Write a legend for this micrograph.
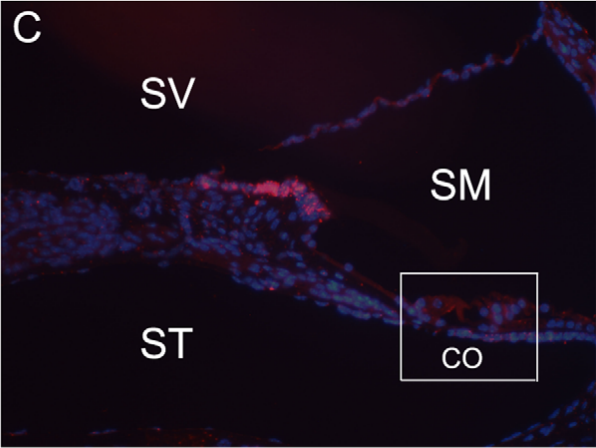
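A fluorescence cross-section of the cochlear duct shows three dark, empty fluid spaces separated by thin membranes lined by blue nuclei. From the left, a thick cellular shelf dense with blue nuclei extends across the section, and its upper surface carries a concentration of bright red dots. This shelf continues to the right into a small, boxed cluster of cells with scattered red fluorescence. A thin membrane composed of a single row of nuclei runs diagonally upward to the upper right, separating two of the spaces. Elsewhere red fluorescence is faint.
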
